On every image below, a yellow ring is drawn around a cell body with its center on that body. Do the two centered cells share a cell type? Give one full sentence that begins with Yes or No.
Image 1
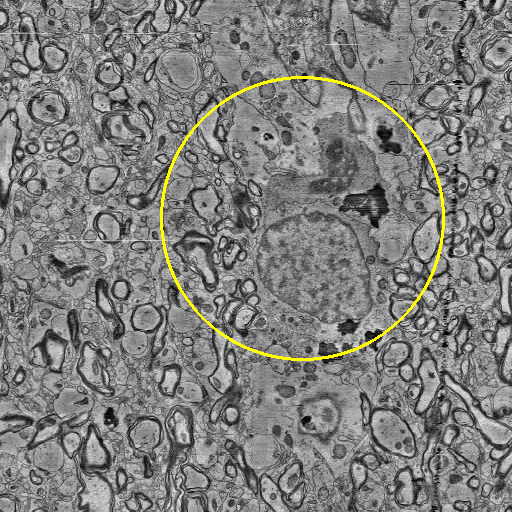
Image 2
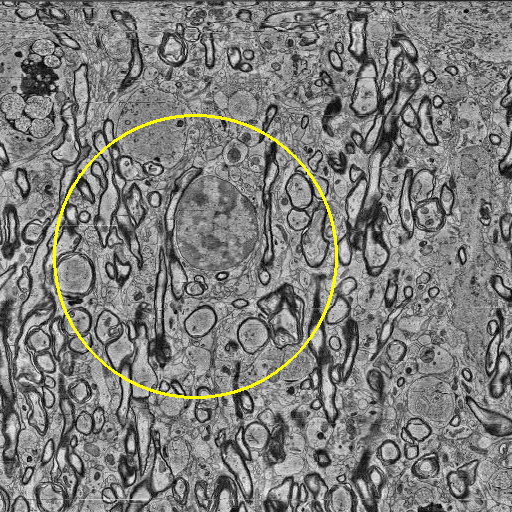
No, the centered cells in the two images are of two separate cell types.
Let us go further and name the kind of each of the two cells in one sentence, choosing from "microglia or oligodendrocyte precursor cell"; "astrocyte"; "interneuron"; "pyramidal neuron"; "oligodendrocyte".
The ring of the first picture is on an oligodendrocyte, the ring of the second on a microglial cell or oligodendrocyte precursor cell.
